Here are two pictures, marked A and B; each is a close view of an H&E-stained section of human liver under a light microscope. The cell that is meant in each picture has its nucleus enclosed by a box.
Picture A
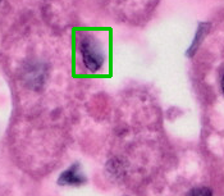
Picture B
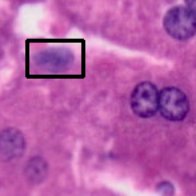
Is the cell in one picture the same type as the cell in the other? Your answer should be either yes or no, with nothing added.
yes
